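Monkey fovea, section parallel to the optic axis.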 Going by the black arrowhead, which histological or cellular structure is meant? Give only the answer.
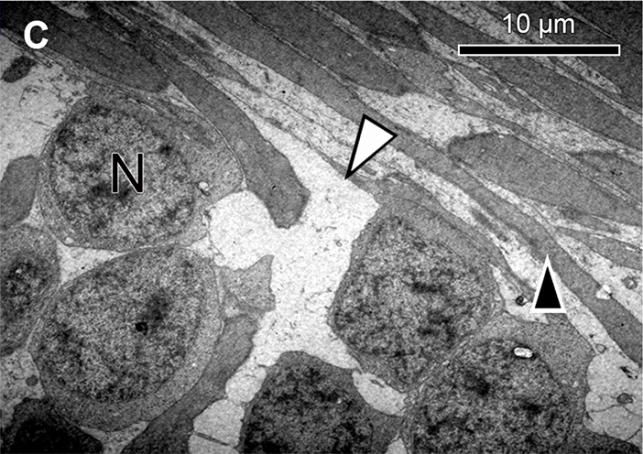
Henle fibers.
